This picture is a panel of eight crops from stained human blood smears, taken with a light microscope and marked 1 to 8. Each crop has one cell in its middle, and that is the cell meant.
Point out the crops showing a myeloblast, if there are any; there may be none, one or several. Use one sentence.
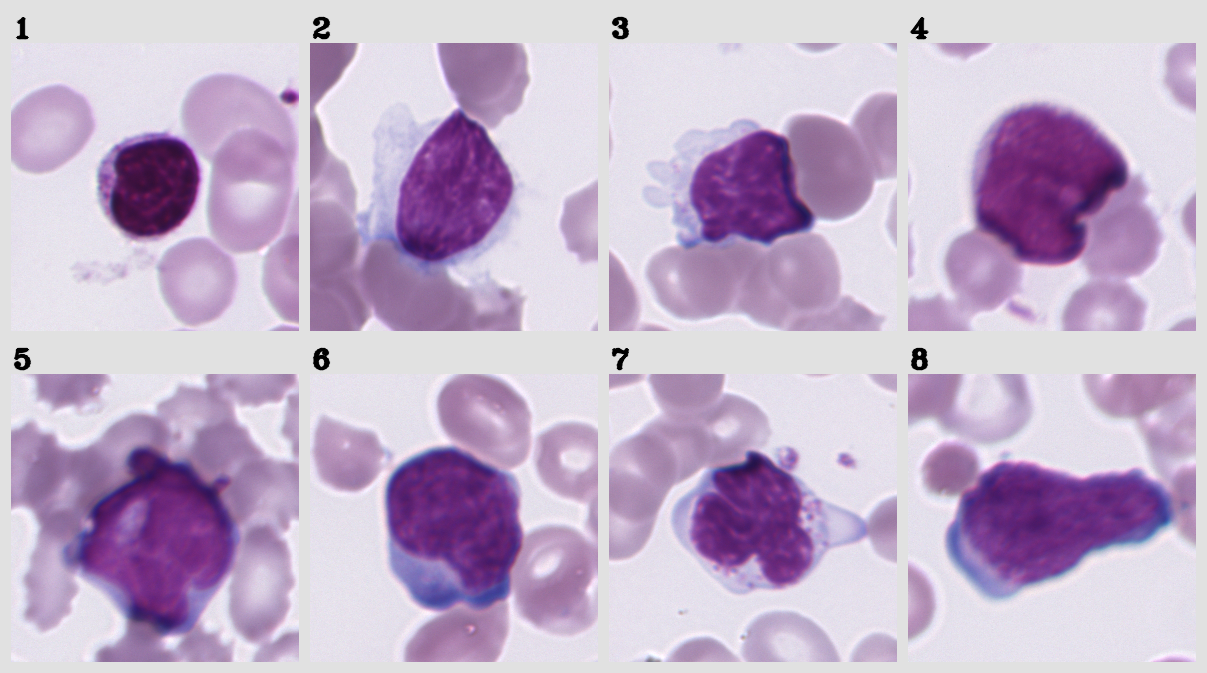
With respect to crops 4, 5, 6 and 8, the cells shown are myeloblasts.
